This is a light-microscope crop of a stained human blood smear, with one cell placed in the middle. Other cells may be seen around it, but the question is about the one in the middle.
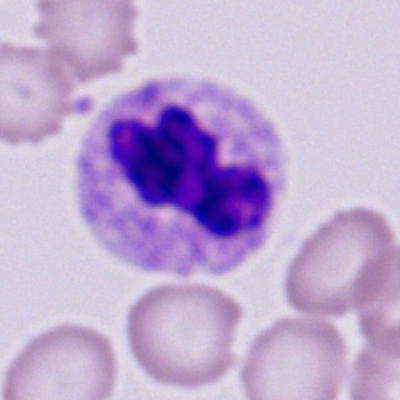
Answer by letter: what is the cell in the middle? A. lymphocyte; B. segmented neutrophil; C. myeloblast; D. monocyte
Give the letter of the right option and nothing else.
B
